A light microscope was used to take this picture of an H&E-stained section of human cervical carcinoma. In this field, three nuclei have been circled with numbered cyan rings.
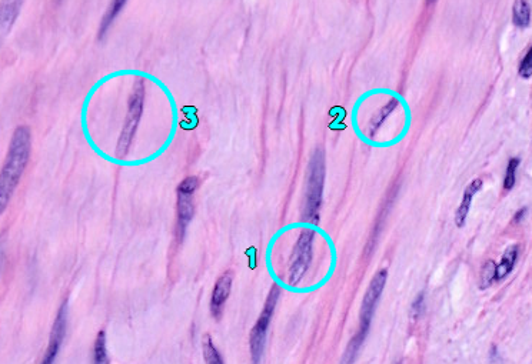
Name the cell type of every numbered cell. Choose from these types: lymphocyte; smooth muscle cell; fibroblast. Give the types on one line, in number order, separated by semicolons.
smooth muscle cell; smooth muscle cell; fibroblast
